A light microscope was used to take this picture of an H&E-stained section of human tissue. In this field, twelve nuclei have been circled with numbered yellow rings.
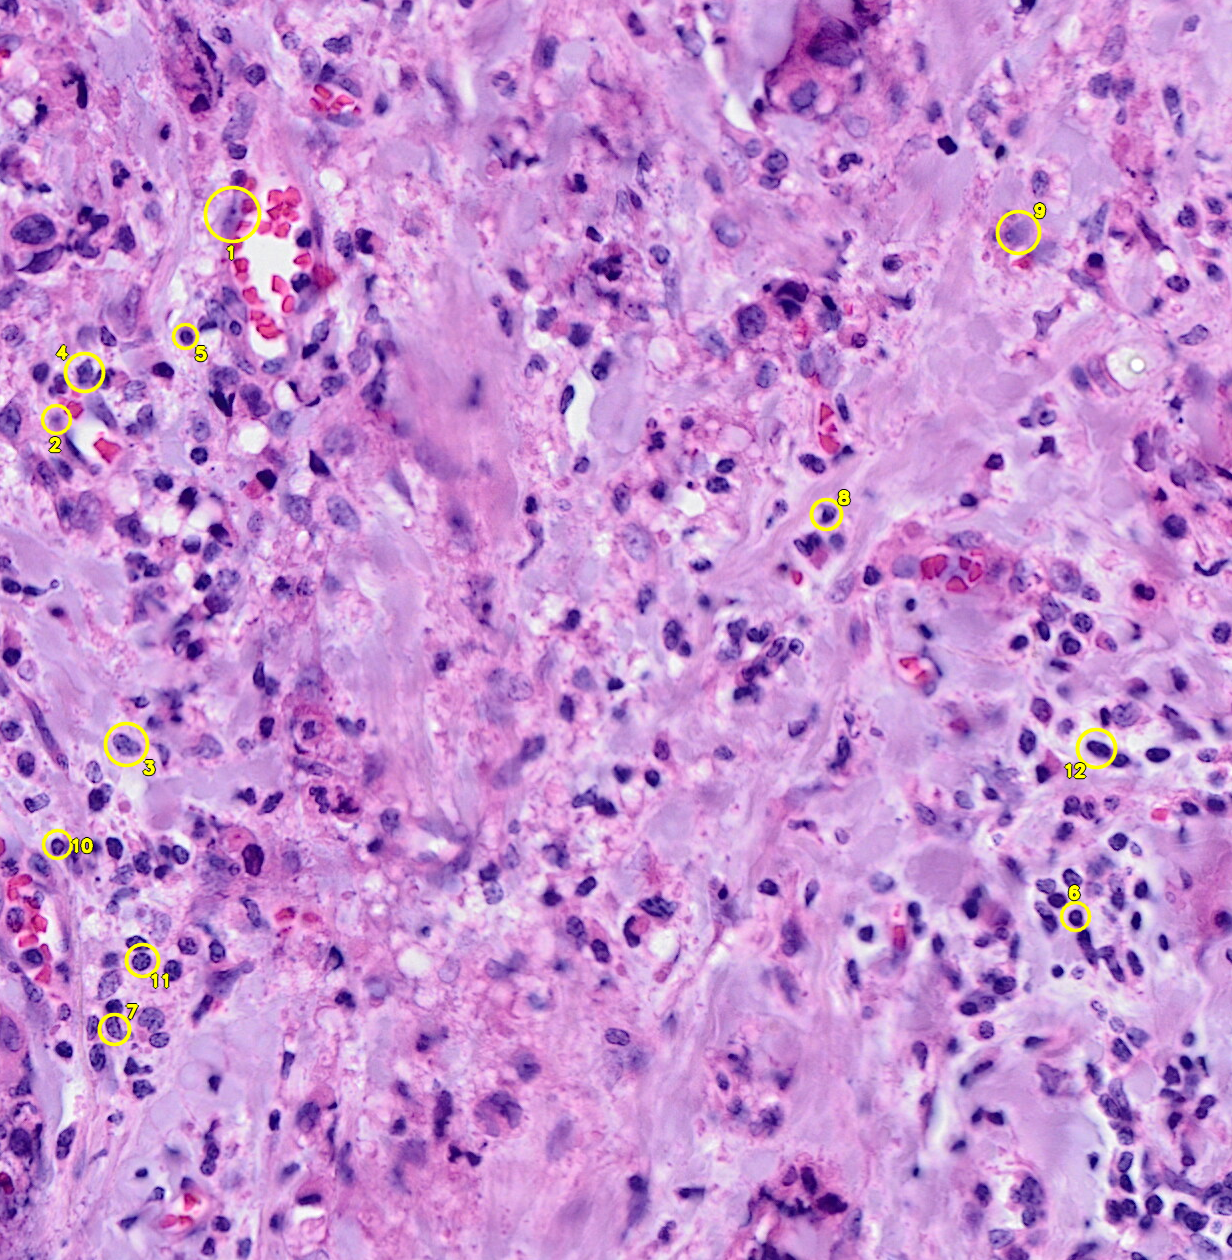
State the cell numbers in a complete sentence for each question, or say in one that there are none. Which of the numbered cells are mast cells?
The cells which carry the numbers 3 and 5 are mast cells.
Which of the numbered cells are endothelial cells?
On this slide, the cells numbered 1, 2 and 9 are endothelial cells.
